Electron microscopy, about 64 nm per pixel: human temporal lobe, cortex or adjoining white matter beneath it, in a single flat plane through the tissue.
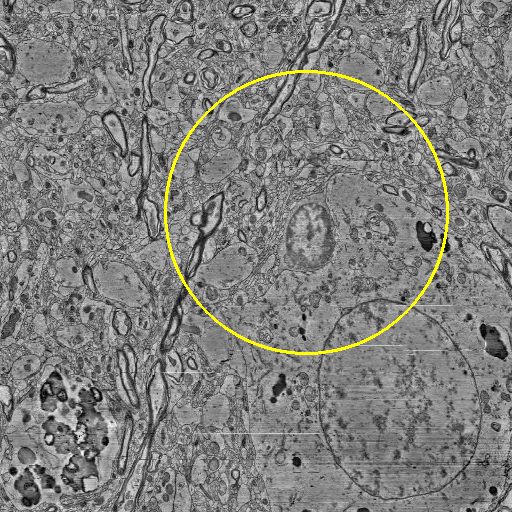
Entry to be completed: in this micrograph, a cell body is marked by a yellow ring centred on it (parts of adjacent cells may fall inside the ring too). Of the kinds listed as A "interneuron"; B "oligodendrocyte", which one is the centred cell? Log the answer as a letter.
B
